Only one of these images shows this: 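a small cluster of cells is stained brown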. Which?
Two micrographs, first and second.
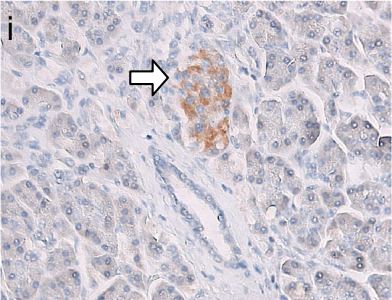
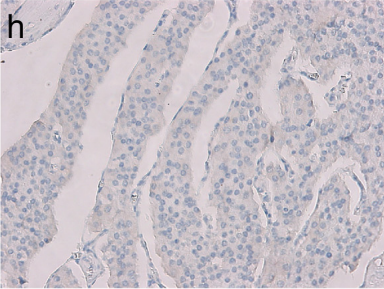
The first image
